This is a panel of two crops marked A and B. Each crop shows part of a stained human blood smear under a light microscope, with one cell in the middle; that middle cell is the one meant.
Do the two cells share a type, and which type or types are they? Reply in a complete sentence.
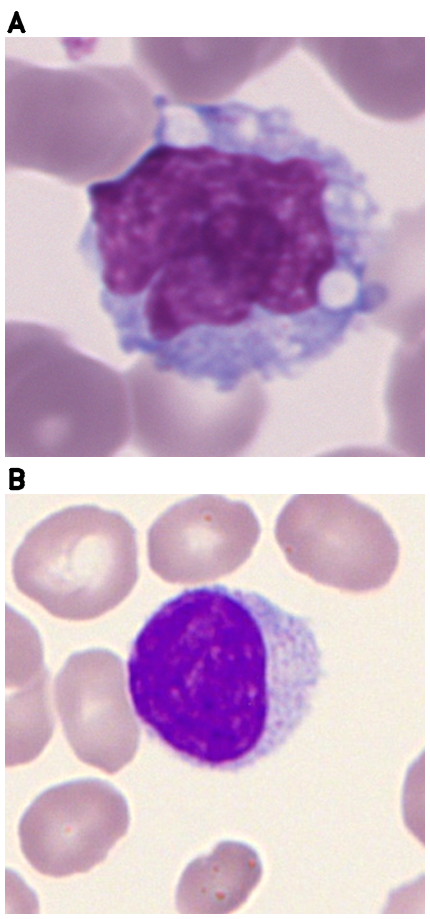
No, a lymphocyte is in crop B, and a monocyte is in crop A.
